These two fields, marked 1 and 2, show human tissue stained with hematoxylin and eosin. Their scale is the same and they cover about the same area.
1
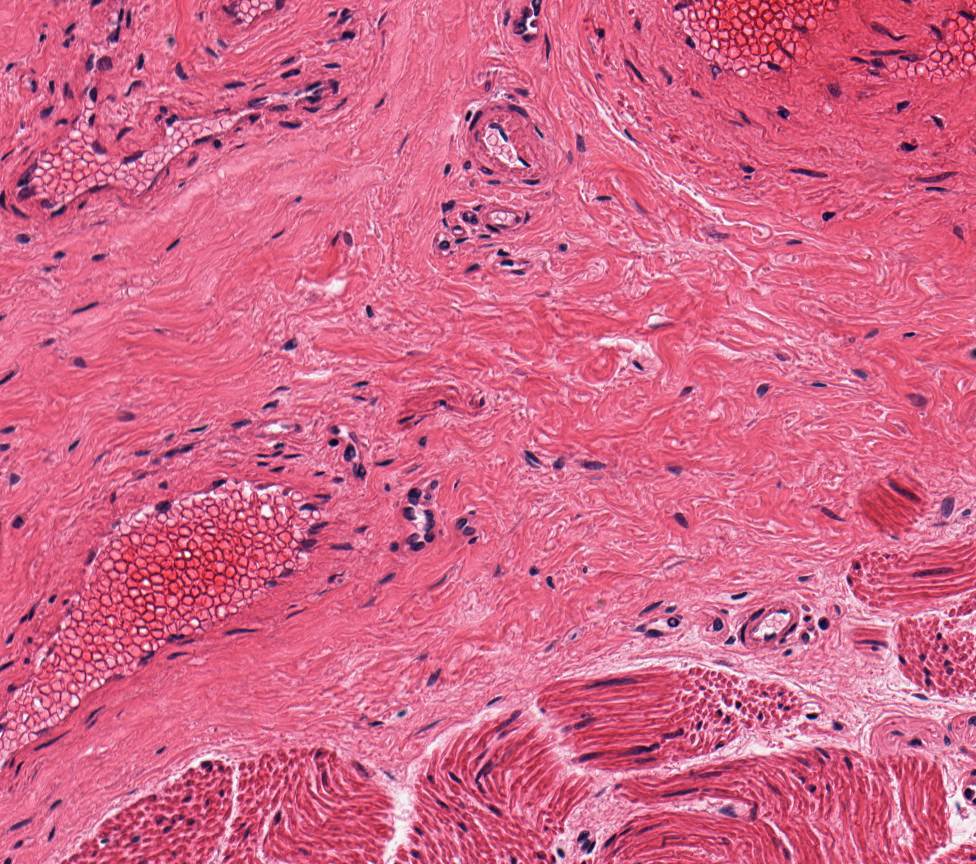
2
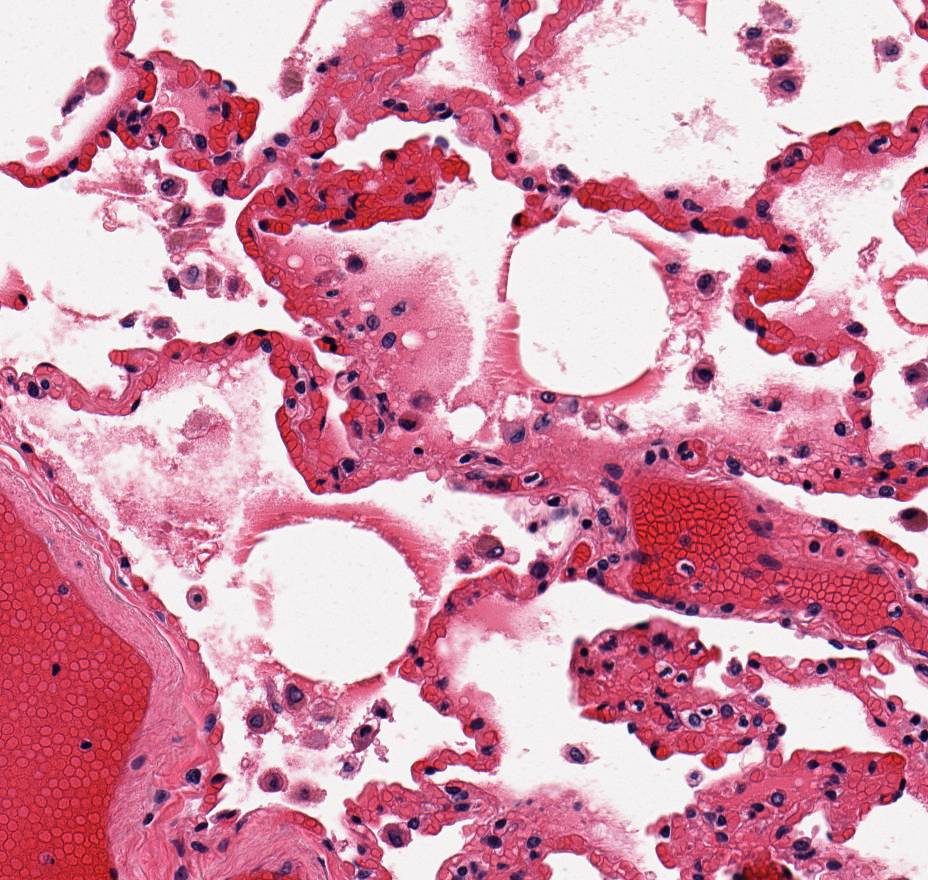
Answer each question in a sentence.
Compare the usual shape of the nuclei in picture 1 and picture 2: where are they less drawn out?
On the whole the nuclei of picture 2 are rounder than those of picture 1.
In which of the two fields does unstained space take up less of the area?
Picture 1 has less white space.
